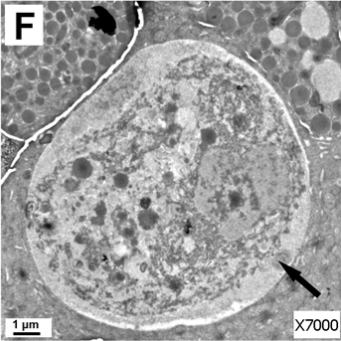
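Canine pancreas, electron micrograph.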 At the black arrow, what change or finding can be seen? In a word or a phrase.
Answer: Acinar cell necrosis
